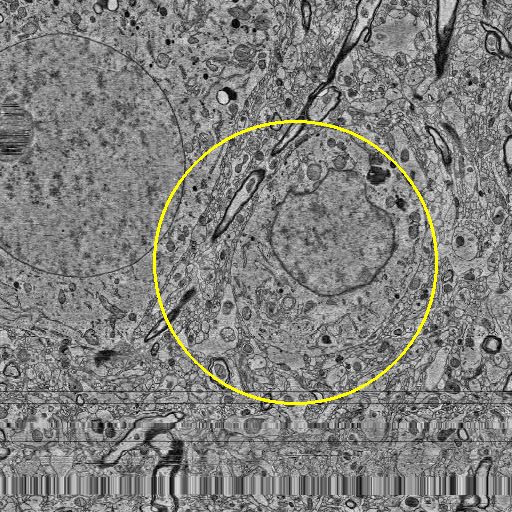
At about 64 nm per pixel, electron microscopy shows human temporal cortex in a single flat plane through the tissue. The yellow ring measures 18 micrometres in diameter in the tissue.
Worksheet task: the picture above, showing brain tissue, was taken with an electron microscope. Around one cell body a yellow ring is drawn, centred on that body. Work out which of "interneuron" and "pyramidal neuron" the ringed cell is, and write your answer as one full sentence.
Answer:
It is a pyramidal neuron whose cell body lies at the centre of the yellow ring.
